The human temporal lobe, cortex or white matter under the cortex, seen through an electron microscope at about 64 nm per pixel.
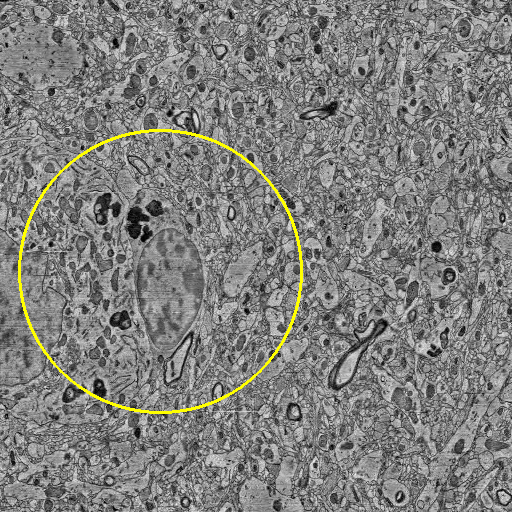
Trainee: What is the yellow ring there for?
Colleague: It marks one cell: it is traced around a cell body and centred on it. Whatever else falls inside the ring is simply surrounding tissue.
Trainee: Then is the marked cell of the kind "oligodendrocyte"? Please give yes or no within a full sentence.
Yes, the marked cell at the centre of the yellow ring is of the kind asked about.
